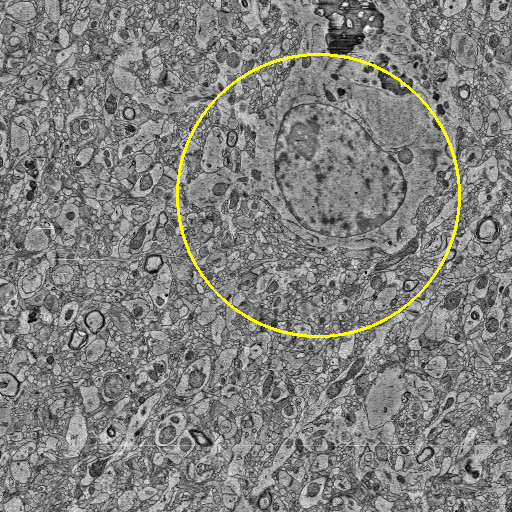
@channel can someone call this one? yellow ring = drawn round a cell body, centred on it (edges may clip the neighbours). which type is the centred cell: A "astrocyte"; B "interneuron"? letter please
A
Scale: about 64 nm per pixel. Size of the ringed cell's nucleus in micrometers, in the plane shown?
The nucleus of the ringed cell is approximately 10 by 7 micrometres in this plane.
